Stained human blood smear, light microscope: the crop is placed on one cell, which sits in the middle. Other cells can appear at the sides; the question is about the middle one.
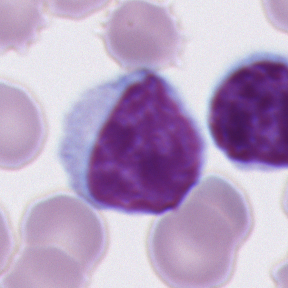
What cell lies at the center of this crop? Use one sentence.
The cell found in the middle of this crop is a typical lymphocyte.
